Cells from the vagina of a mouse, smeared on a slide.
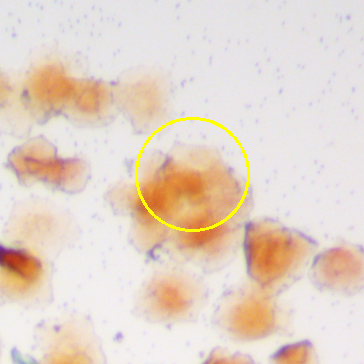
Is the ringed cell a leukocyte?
No, it is a cornified epithelial cell.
